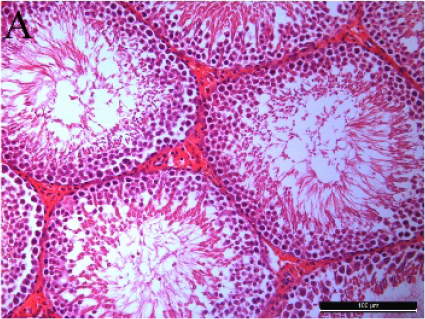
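Cross-sections of seminiferous tubules of the testis are seen, each lined by a thick, many-layered epithelium of spermatogenic cells with round, dark purple nuclei arranged in regular concentric layers from the basal wall toward the lumen. Between neighbouring tubules lies bright pink interstitial tissue. The tubules are closely packed and rounded or polygonal, and the germinal layer is uniform in thickness around each tubule, giving an orderly appearance.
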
